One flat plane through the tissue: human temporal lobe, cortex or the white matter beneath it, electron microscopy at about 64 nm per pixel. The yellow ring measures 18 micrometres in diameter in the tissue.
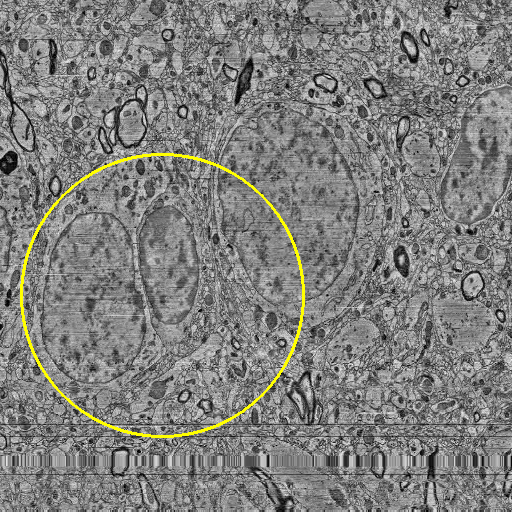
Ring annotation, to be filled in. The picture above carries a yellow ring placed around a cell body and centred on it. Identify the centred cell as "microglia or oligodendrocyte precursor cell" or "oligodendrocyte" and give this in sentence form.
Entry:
The cell in the middle of the ring is an oligodendrocyte.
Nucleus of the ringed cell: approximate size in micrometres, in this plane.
The nucleus is approximately 8 micrometres long but only about 4 wide, clearly longer than it is wide in this plane.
